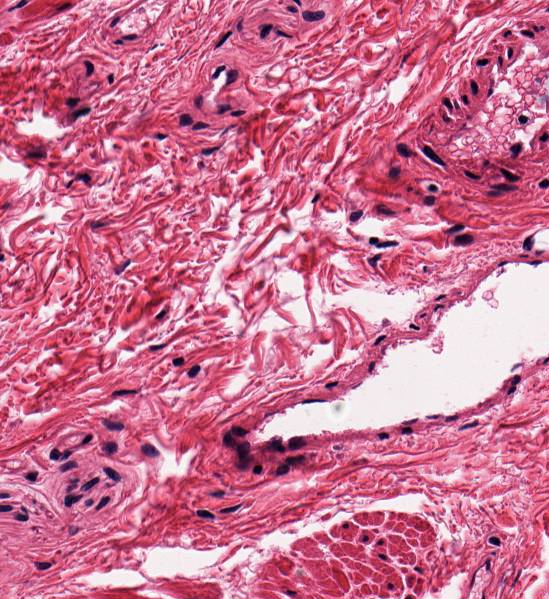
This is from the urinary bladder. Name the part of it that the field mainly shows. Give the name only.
loose connective tissue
